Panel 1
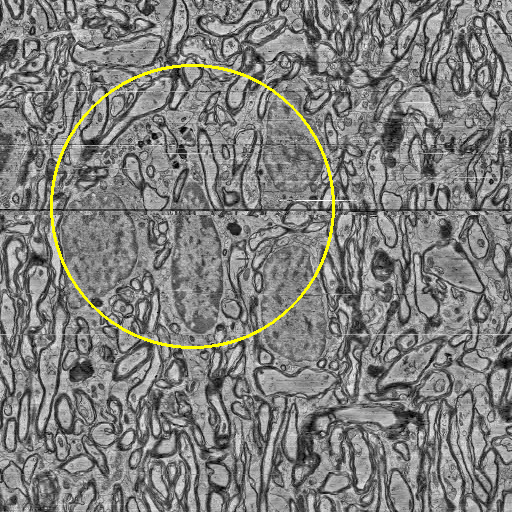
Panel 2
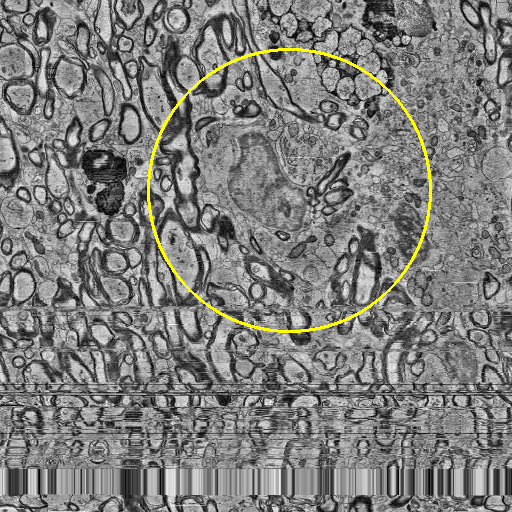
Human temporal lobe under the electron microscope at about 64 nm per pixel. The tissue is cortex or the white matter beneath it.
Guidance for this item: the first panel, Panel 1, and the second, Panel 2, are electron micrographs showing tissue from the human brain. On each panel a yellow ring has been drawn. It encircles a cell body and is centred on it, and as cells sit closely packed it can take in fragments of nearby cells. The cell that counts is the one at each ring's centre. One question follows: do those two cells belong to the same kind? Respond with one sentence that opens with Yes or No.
No, the cells at the ring centres in Panel 1 and Panel 2 are of two kinds.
